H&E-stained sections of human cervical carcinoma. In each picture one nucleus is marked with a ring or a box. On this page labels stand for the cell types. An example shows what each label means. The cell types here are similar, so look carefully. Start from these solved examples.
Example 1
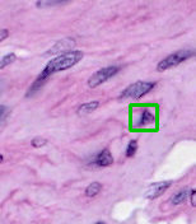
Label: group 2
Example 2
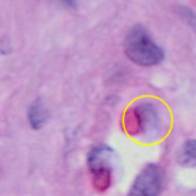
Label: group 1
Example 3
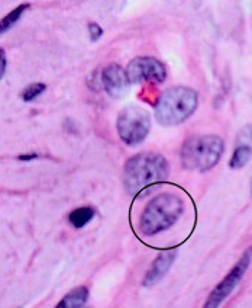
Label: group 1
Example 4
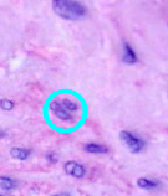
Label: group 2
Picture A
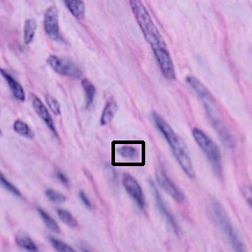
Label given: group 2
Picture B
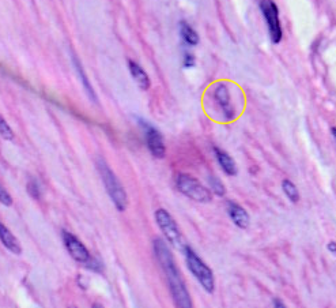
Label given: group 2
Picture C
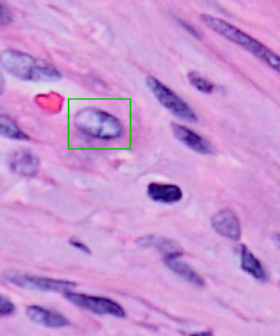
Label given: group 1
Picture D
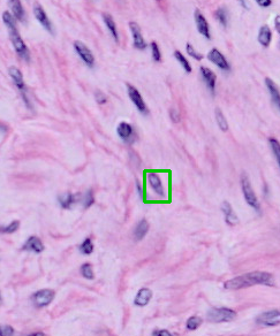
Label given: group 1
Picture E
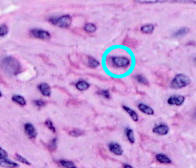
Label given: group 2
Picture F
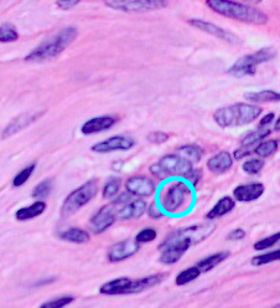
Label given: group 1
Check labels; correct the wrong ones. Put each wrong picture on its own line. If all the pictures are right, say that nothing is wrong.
D is labelled group 1; correct label: group 2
